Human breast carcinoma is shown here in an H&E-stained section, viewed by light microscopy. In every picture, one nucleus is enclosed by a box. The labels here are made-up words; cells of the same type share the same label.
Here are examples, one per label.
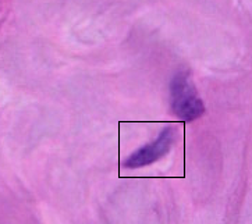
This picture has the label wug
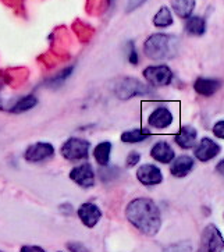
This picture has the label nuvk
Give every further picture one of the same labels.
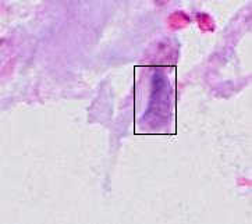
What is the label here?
wug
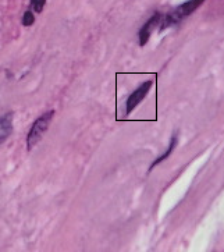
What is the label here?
wug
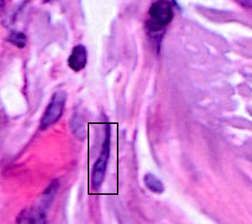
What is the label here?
wug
